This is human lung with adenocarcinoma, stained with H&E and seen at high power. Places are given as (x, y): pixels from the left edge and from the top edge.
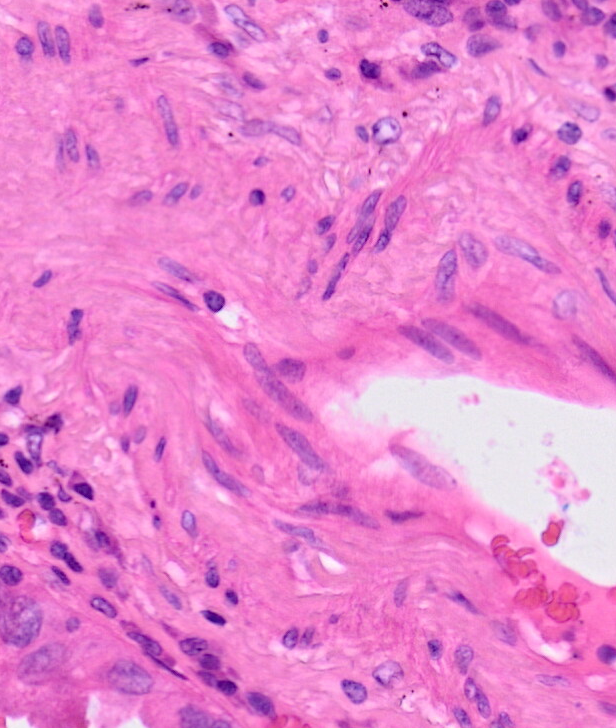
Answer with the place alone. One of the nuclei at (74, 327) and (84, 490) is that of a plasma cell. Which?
(84, 490)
